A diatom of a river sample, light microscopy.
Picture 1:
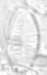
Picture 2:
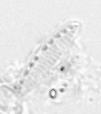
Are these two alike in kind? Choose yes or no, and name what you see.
No. First Achnanthidium, second Nitzschia.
